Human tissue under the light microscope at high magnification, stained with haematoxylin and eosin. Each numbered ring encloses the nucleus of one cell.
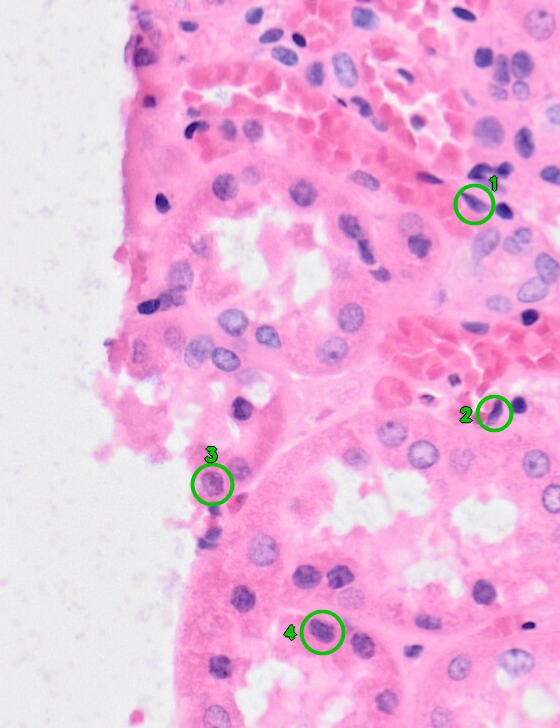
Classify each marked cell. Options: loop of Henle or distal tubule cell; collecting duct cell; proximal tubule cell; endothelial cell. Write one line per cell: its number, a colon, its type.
1: endothelial cell
2: endothelial cell
3: proximal tubule cell
4: proximal tubule cell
